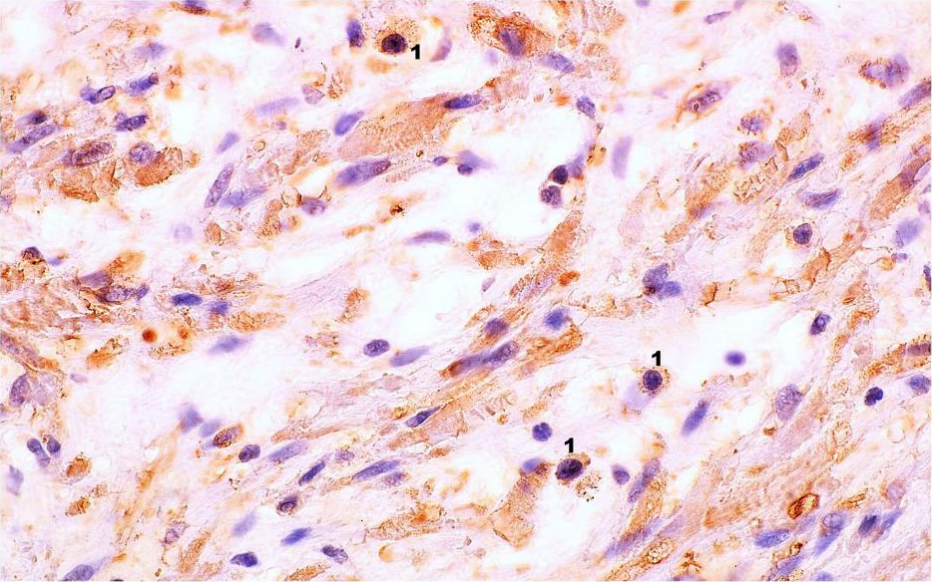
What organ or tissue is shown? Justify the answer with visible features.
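Elongated spindle-shaped cells lie in loose, pale connective tissue. The cells run in roughly parallel streams. No glandular epithelium is seen. On this evidence: stroma.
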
